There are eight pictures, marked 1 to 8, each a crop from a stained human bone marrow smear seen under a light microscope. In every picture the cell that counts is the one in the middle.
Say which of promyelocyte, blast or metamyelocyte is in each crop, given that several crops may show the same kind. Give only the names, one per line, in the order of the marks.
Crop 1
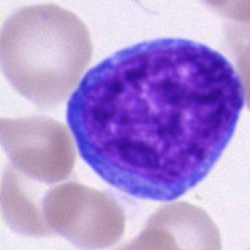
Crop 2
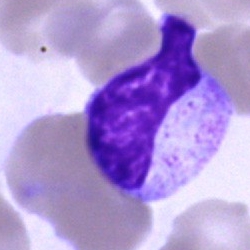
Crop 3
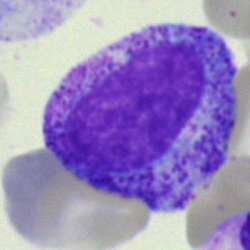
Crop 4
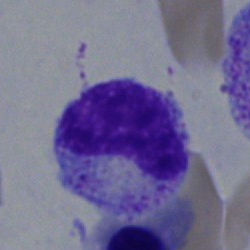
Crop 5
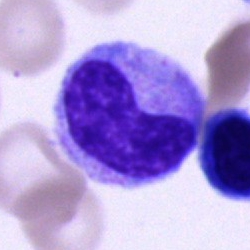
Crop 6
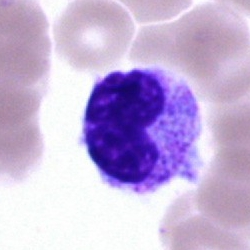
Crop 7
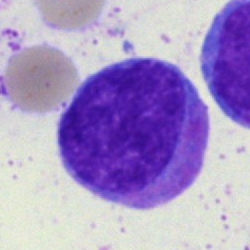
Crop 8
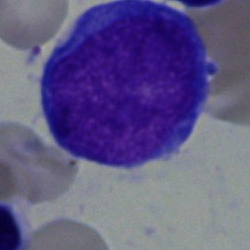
blast
metamyelocyte
promyelocyte
metamyelocyte
metamyelocyte
metamyelocyte
promyelocyte
blast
